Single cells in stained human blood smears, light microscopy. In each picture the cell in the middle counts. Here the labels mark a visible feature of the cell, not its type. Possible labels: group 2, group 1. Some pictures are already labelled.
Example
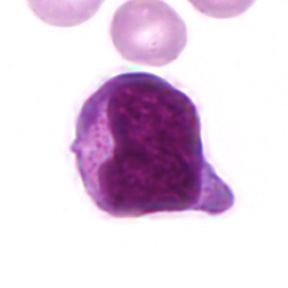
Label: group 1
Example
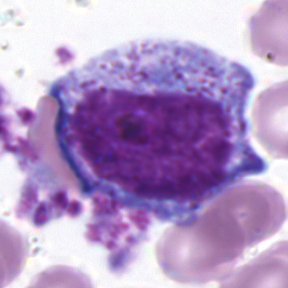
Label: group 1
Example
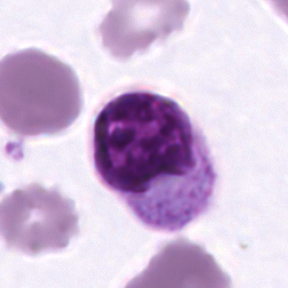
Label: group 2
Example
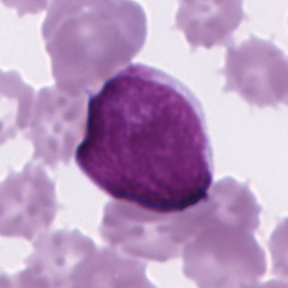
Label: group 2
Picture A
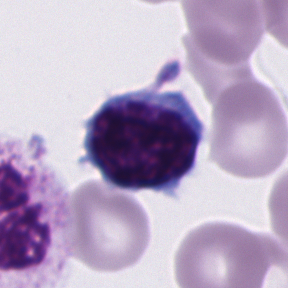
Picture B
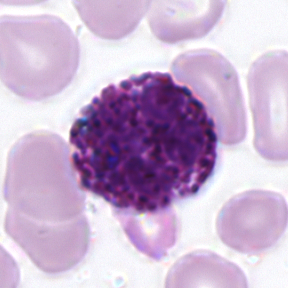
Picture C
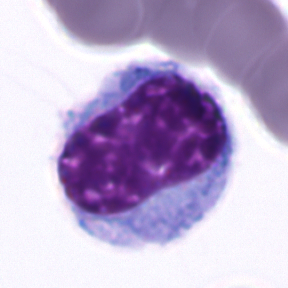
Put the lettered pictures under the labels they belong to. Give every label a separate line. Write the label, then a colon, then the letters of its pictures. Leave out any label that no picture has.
group 2: B
group 1: A, C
